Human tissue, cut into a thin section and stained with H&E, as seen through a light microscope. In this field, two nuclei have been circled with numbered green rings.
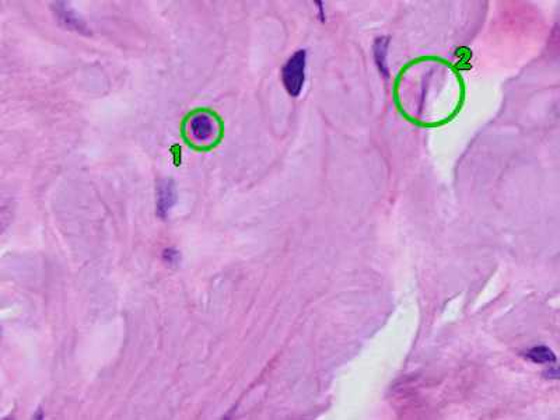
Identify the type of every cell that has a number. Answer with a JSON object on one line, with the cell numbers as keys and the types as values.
{"1": "mast cell", "2": "fibroblast"}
